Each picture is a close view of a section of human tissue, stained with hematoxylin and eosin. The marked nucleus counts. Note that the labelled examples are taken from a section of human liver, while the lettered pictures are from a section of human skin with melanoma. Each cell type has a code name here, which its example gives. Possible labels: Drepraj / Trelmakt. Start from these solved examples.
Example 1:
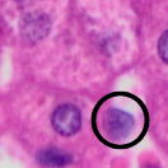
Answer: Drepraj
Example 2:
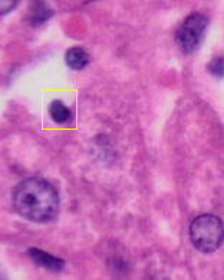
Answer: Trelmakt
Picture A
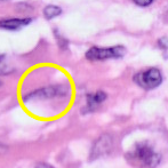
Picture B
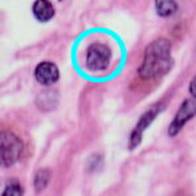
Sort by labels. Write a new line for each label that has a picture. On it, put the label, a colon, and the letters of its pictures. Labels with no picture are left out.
Drepraj: A
Trelmakt: B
